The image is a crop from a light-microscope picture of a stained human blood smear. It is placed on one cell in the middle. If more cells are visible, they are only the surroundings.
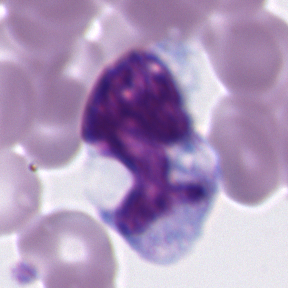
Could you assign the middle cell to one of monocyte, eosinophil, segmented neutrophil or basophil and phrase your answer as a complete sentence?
This crop has a monocyte at its centre.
